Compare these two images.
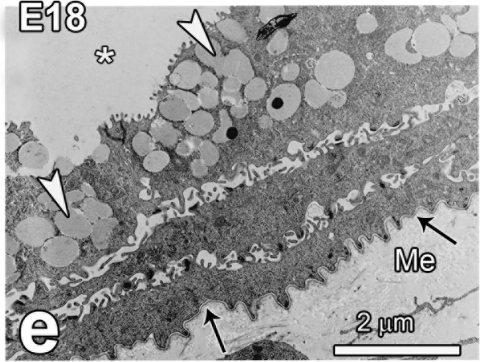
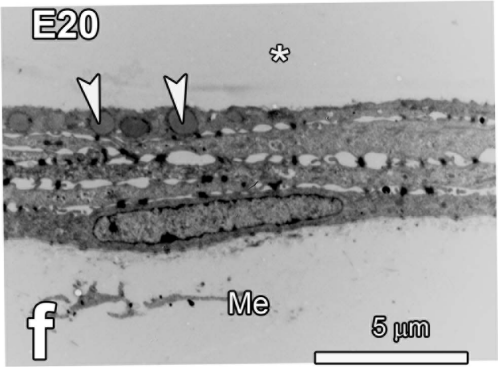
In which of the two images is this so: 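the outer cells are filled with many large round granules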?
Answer: The first image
